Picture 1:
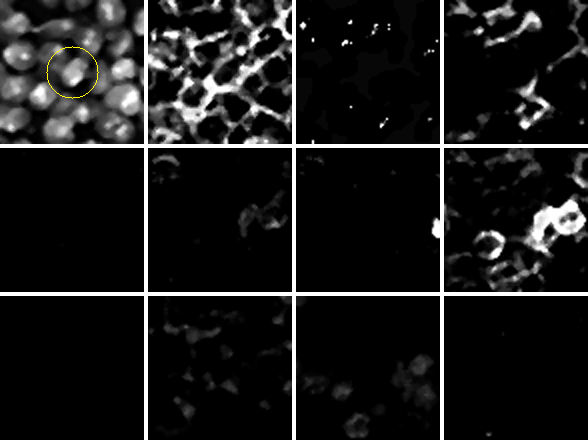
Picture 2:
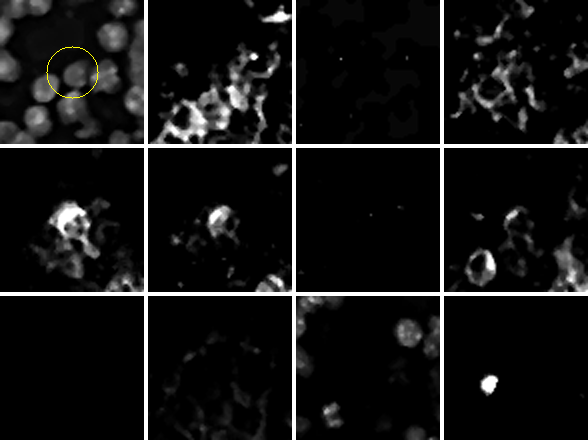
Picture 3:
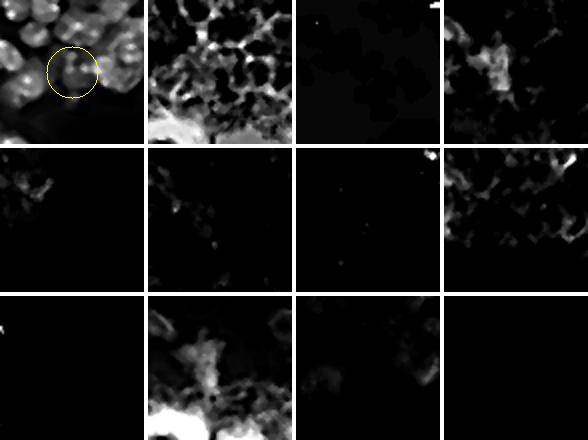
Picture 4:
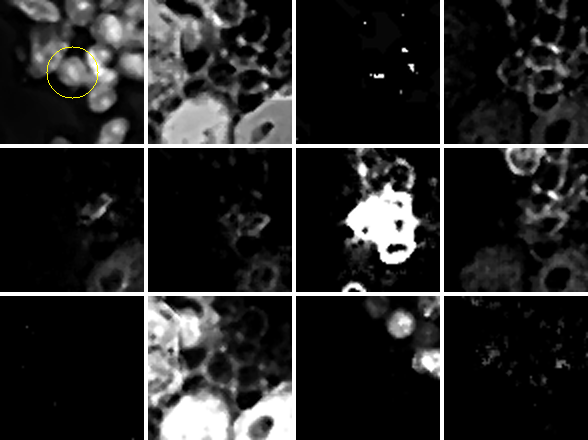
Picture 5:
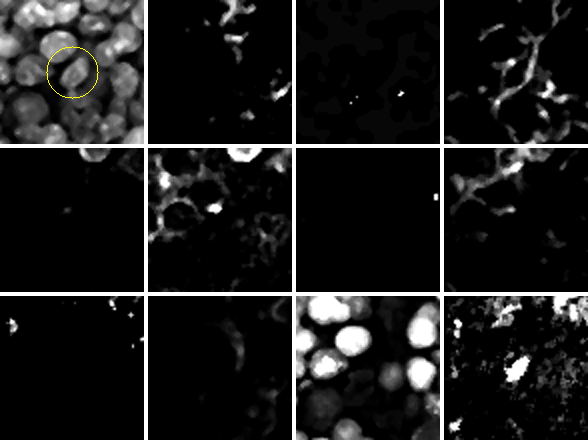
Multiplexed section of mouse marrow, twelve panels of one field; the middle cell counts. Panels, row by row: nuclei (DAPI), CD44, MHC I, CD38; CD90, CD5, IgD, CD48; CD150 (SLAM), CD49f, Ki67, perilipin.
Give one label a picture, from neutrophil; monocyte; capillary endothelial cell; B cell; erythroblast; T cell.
(1) neutrophil
(2) T cell
(3) capillary endothelial cell
(4) B cell
(5) capillary endothelial cell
